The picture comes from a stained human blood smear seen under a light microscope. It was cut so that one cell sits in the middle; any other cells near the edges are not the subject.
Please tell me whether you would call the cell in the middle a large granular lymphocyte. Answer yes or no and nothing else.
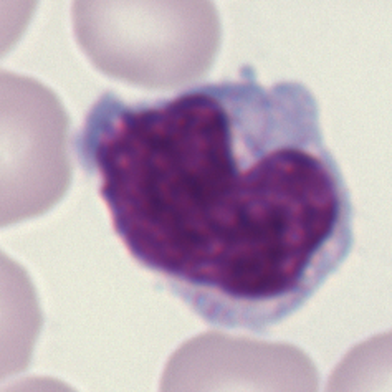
no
